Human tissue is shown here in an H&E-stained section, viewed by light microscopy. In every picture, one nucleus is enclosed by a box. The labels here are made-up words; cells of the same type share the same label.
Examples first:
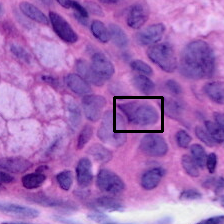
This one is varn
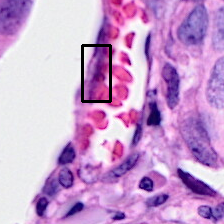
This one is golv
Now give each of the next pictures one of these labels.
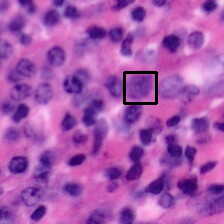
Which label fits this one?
golv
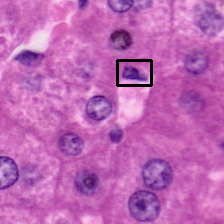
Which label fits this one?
golv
